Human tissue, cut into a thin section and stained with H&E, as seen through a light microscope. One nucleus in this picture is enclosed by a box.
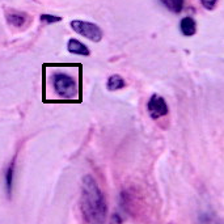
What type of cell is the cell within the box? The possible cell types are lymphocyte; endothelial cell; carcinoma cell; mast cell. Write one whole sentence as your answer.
The cell type of the cell within the box is that of a mast cell.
